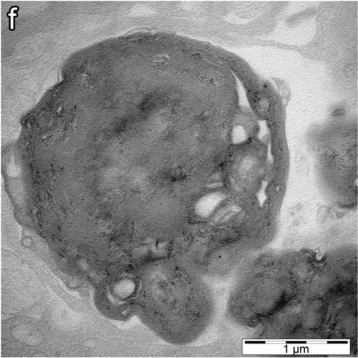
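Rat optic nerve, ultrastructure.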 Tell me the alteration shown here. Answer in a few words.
Necrotic fibres.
